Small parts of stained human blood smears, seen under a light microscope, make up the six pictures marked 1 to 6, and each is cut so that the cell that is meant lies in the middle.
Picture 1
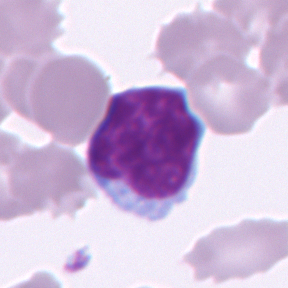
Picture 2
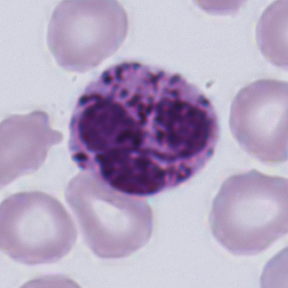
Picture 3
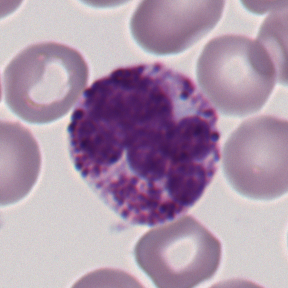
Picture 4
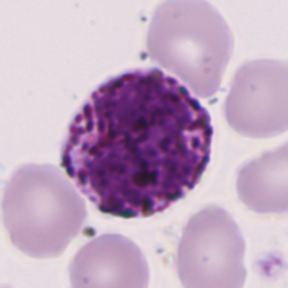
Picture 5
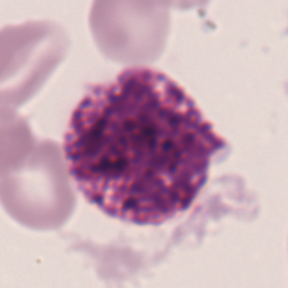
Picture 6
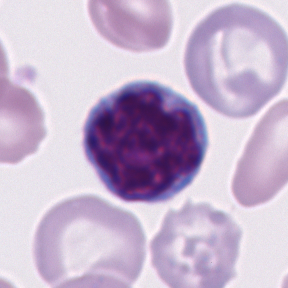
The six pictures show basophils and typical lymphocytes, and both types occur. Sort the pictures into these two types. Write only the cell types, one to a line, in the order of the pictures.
typical lymphocyte
basophil
basophil
basophil
basophil
typical lymphocyte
